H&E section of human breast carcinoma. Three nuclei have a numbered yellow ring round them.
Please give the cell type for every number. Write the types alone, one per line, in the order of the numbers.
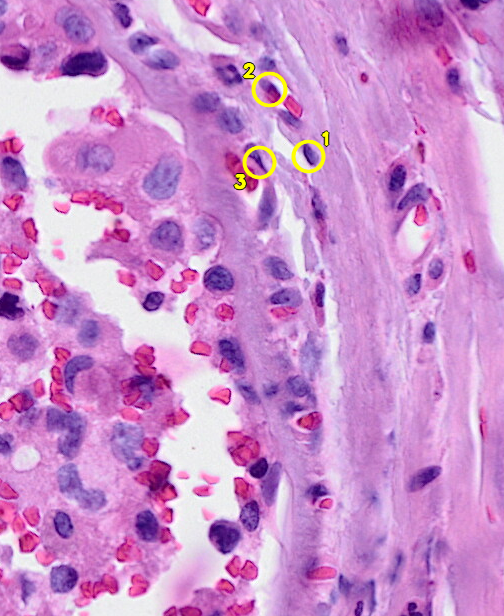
fibroblast
endothelial cell
endothelial cell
